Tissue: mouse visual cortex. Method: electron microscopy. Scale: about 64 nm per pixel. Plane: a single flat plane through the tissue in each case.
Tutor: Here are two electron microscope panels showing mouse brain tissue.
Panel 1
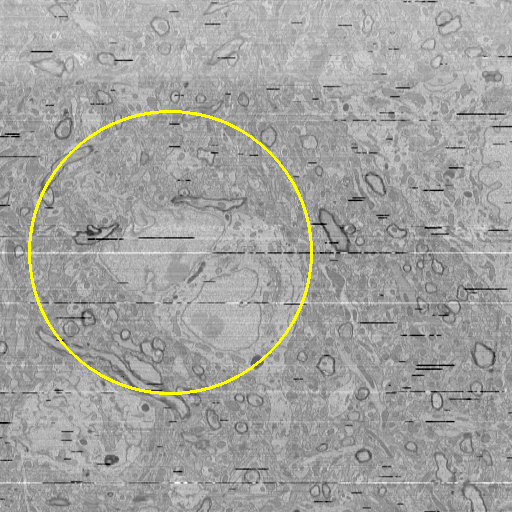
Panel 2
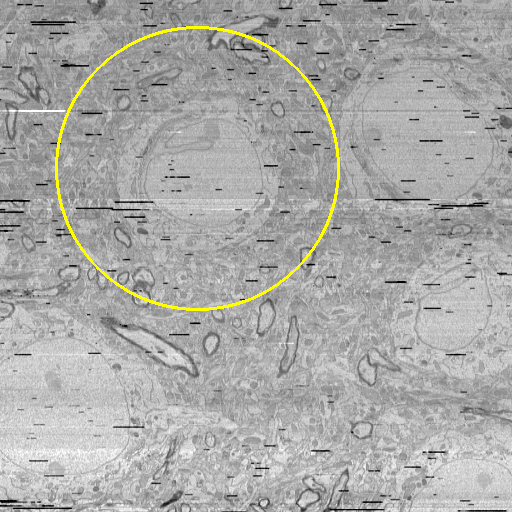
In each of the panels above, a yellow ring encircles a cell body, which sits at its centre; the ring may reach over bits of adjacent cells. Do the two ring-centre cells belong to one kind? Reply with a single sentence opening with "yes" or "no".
No, the two cells sitting at the ring centres in the panels belong to two kinds.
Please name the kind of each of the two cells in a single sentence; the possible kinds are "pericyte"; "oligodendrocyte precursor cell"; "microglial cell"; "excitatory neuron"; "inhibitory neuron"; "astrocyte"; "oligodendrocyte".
In the first picture the ring is centred on an oligodendrocyte precursor cell, and in the second on an excitatory neuron.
